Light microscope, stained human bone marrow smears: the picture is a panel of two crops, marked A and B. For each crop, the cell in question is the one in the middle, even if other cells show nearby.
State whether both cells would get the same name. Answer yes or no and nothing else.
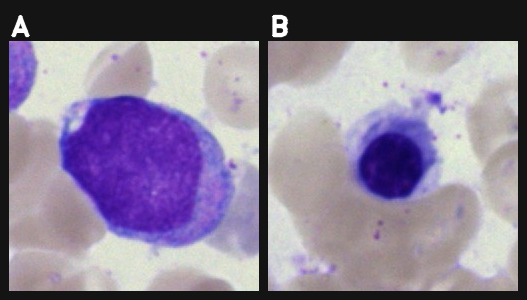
no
